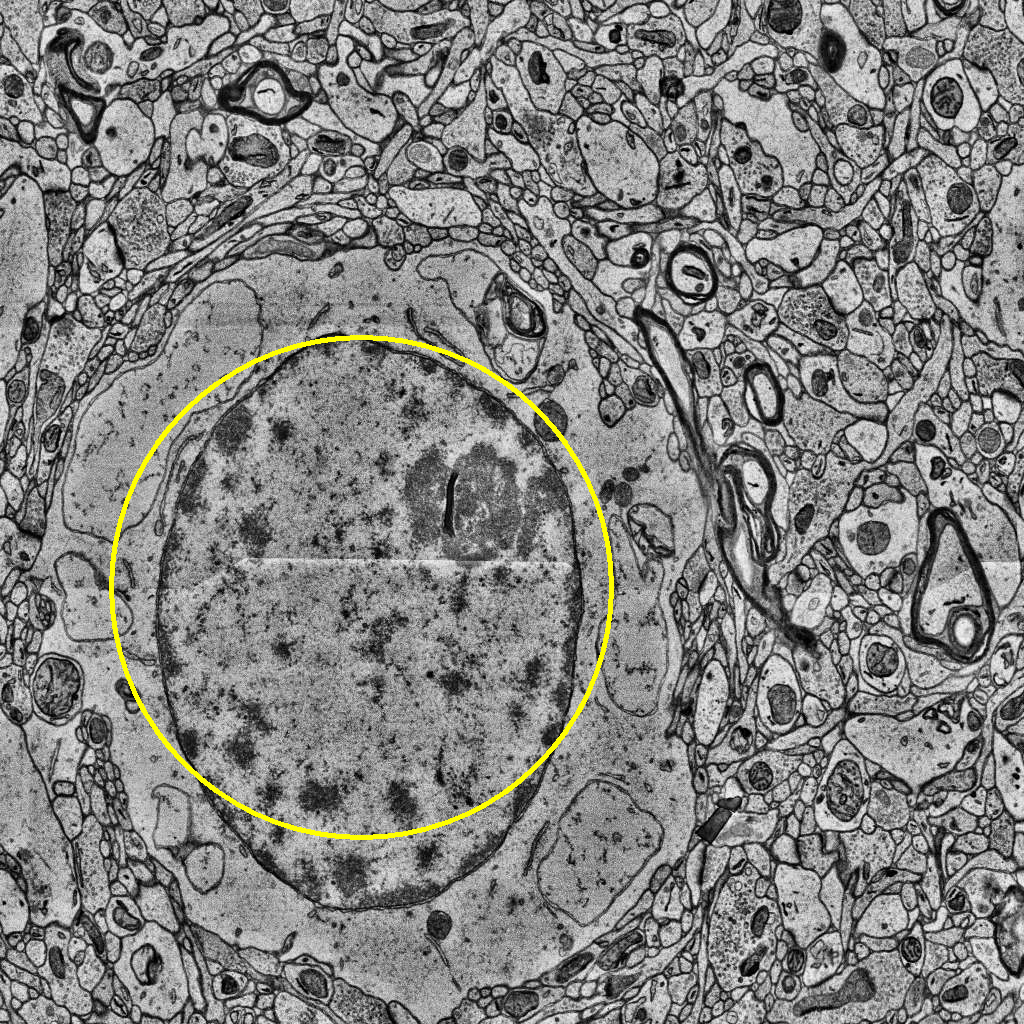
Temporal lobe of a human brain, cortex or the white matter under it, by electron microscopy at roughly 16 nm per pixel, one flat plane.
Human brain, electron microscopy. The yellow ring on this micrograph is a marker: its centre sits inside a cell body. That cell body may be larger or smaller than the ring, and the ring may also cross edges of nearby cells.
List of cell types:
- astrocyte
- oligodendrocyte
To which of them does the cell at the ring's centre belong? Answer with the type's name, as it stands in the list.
astrocyte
